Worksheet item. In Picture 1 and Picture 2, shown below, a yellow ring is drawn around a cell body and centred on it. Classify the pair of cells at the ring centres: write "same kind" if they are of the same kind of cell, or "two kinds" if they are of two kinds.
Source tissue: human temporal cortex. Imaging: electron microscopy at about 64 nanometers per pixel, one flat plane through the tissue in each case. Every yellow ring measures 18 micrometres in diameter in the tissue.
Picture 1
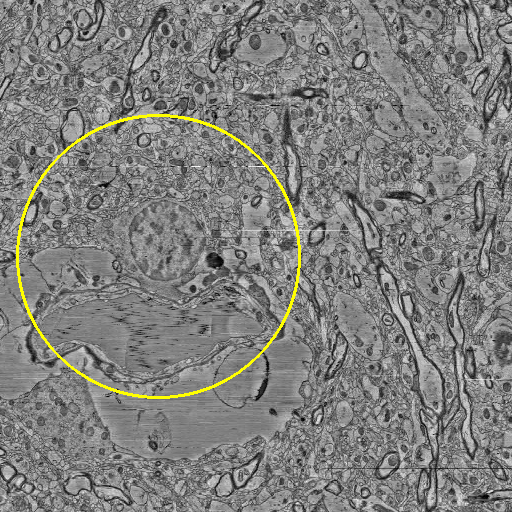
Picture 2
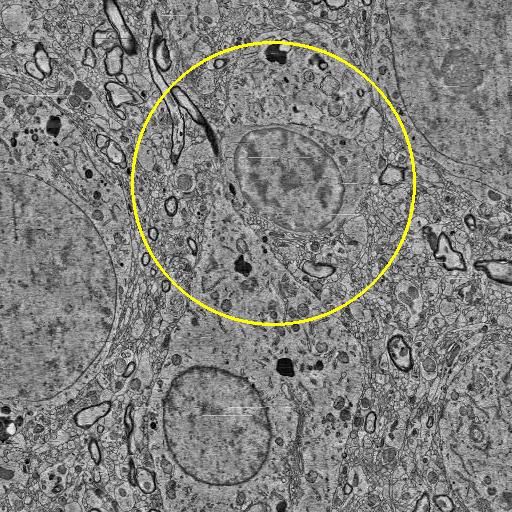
same kind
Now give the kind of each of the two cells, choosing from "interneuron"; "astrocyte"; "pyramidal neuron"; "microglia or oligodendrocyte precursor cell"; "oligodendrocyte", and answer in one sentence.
In the first picture and in the second, the ring is centred on an oligodendrocyte.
